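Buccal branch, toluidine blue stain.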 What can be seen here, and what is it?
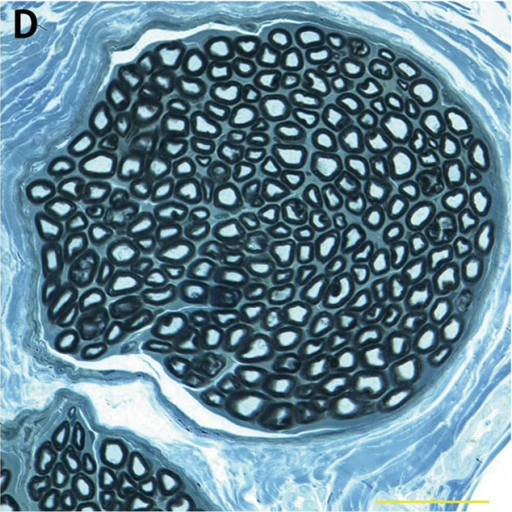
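This is a cross-section of a single peripheral nerve fascicle packed with myelinated nerve fibres. The fibres appear as thick dark blue rings of myelin around pale axon centres. They are densely and fairly evenly packed, with little space between neighbouring rings. The fascicle is enclosed by a perineurial sheath, partly separated from the surrounding pale, layered connective tissue by a cleft. Part of another fascicle is visible at the lower left corner.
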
